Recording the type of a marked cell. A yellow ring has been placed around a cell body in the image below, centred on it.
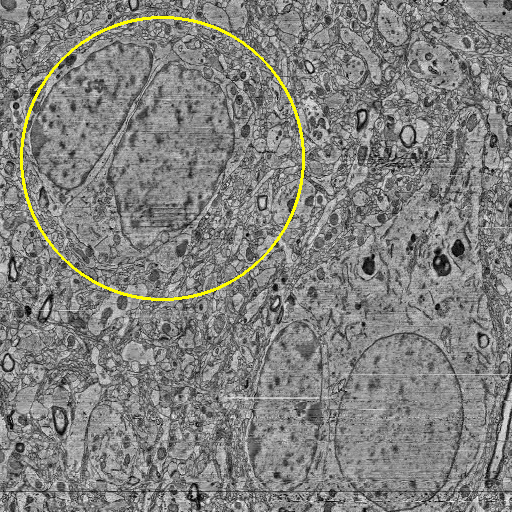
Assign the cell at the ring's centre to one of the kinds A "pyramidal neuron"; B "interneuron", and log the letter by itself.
B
